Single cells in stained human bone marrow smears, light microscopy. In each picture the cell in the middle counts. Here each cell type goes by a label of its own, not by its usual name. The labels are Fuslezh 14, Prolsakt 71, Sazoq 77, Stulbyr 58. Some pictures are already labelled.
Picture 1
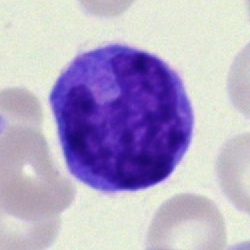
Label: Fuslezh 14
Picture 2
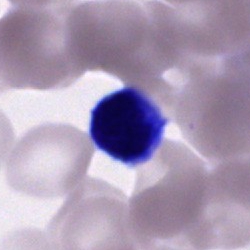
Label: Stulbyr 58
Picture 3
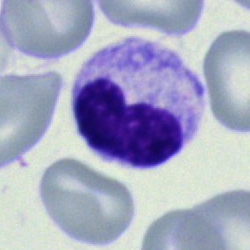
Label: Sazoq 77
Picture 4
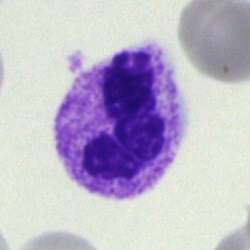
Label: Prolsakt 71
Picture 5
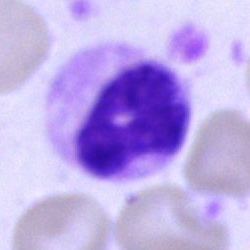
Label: Prolsakt 71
